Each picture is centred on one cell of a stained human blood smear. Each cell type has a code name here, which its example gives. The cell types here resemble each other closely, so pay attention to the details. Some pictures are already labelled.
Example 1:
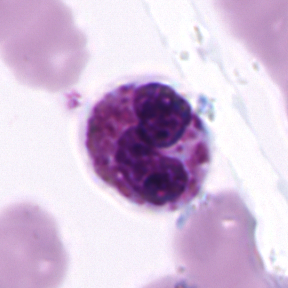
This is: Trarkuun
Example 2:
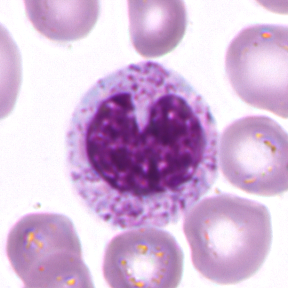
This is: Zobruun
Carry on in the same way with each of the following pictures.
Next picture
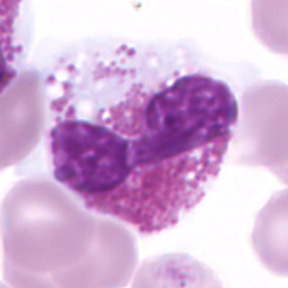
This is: Trarkuun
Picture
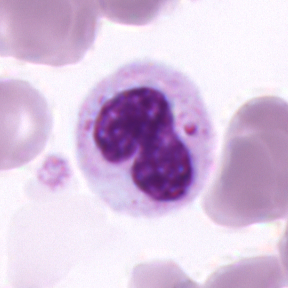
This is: Zobruun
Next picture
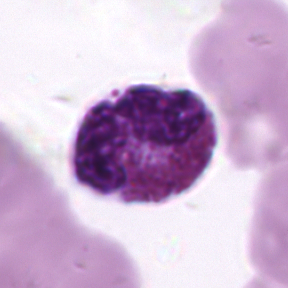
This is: Trarkuun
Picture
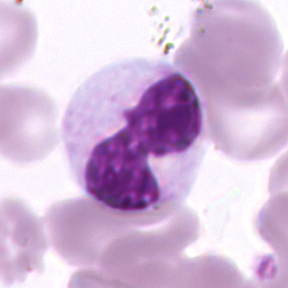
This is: Zobruun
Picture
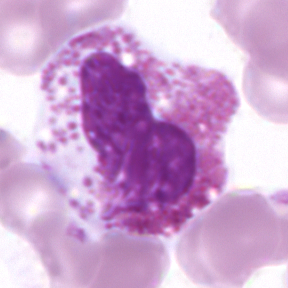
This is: Trarkuun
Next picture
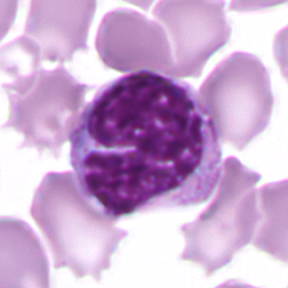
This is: Zobruun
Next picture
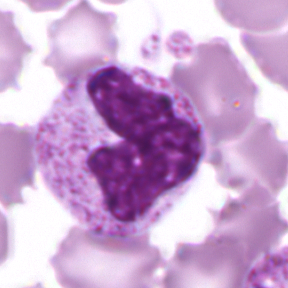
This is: Zobruun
